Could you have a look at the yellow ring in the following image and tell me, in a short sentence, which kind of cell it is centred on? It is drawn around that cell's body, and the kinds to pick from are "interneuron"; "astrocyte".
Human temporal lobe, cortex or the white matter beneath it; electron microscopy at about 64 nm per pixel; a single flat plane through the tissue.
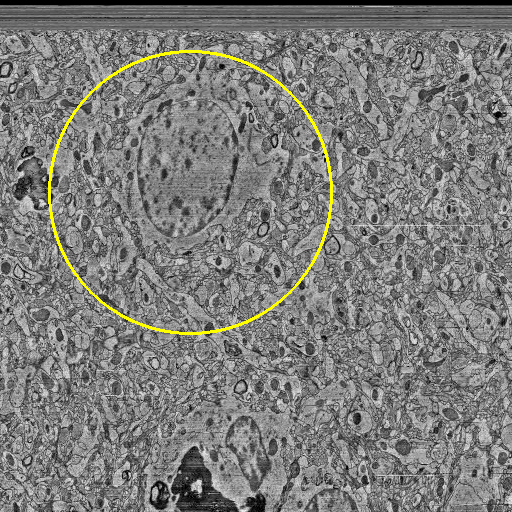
The ring is centred on the body of an astrocyte.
